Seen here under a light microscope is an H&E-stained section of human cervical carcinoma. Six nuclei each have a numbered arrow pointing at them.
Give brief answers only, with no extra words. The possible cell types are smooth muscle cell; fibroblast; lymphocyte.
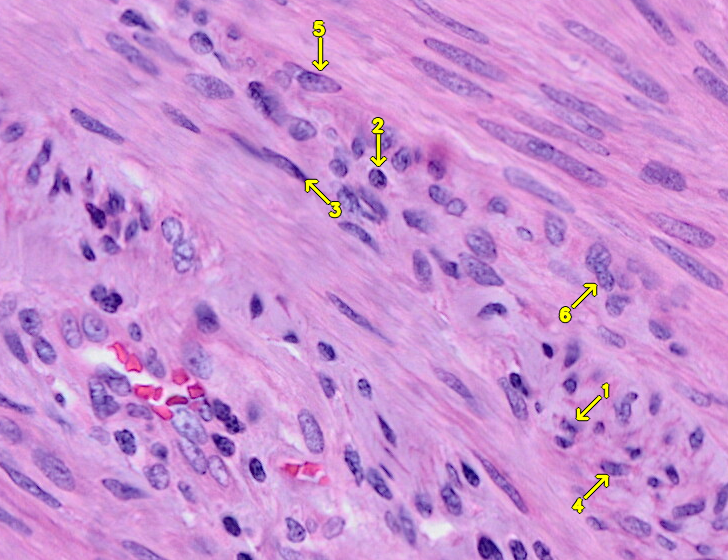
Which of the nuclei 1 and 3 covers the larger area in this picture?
3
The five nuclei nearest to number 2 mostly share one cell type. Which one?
smooth muscle cell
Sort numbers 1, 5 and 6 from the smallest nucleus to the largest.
1, 6, 5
